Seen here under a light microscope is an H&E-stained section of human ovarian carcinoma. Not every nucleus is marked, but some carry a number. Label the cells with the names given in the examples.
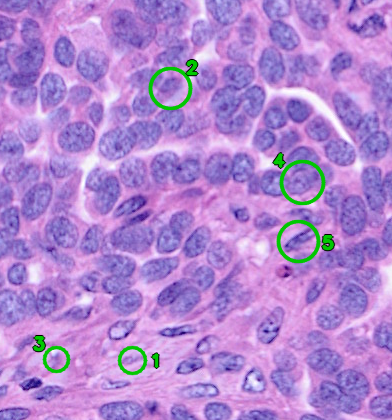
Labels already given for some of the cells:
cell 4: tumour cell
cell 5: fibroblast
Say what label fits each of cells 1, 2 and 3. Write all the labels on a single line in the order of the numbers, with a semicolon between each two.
fibroblast; tumour cell; fibroblast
